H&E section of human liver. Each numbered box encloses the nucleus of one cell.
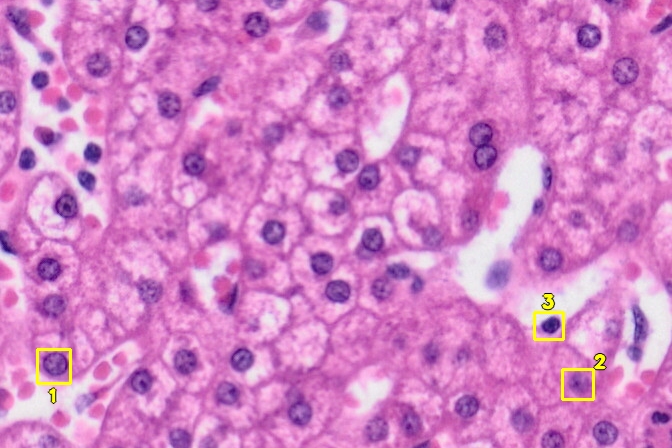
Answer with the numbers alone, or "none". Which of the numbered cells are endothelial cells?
none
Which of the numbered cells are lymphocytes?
3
